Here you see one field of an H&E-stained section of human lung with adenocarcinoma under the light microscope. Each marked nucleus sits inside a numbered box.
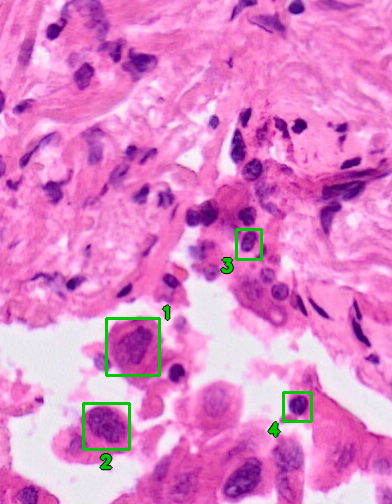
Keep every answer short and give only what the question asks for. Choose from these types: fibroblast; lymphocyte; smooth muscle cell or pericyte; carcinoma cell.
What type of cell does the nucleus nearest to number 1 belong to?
lymphocyte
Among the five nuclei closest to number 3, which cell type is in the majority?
carcinoma cell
